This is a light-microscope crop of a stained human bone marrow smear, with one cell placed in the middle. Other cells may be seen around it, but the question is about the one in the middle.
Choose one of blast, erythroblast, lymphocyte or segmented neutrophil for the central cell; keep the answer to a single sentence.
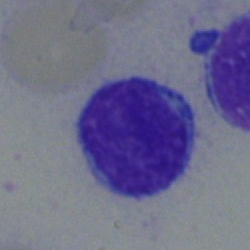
The cell centered in this field of view is a lymphocyte.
